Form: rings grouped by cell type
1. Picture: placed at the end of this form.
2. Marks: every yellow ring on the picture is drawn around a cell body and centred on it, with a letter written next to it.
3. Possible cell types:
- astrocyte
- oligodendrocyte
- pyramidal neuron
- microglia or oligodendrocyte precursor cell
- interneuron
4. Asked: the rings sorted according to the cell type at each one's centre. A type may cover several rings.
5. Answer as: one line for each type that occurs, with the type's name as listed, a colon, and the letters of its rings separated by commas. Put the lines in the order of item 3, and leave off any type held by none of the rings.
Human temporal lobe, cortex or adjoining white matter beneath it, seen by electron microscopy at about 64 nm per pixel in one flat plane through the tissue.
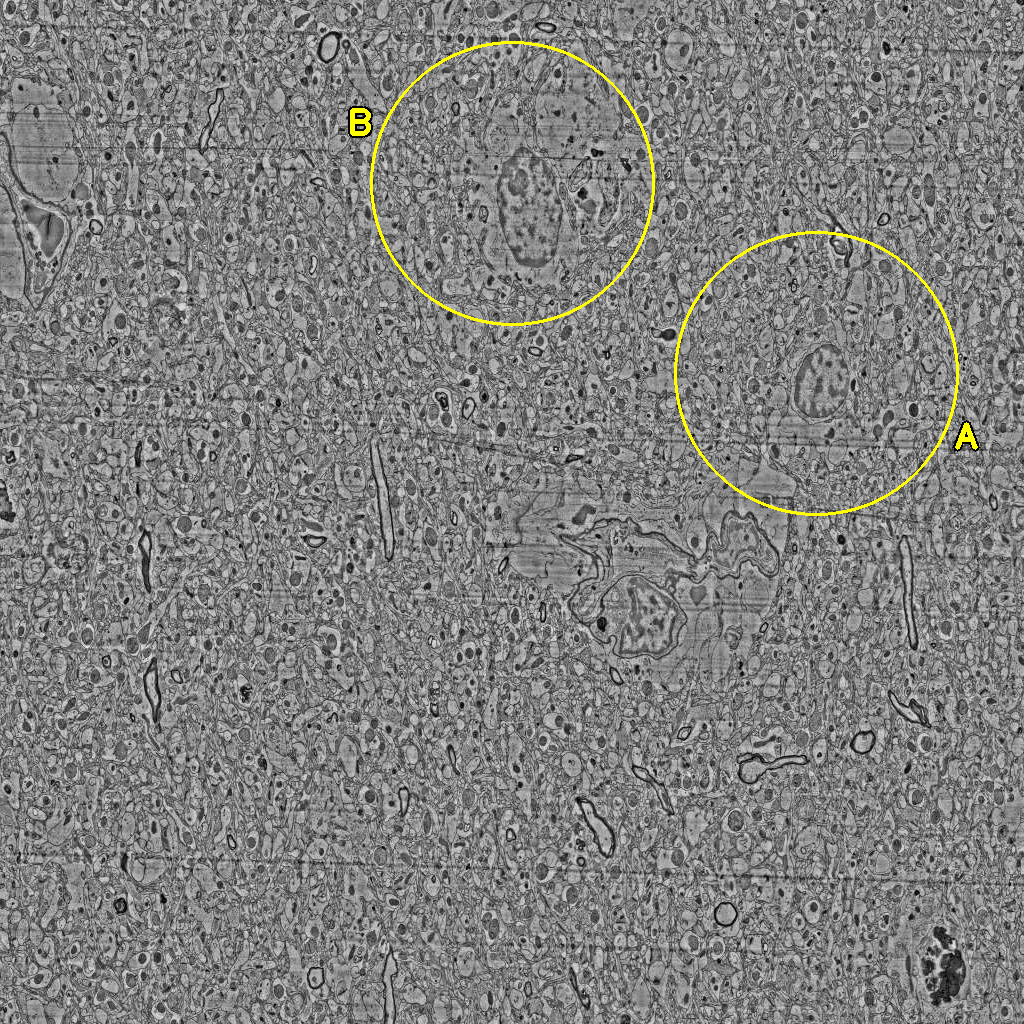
astrocyte: B
microglia or oligodendrocyte precursor cell: A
